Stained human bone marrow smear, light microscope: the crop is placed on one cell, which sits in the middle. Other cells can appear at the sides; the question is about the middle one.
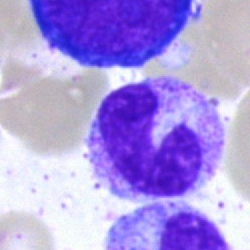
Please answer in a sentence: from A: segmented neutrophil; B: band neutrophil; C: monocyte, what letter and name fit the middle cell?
The cell at the centre, correctly named in option B, is a band neutrophil.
